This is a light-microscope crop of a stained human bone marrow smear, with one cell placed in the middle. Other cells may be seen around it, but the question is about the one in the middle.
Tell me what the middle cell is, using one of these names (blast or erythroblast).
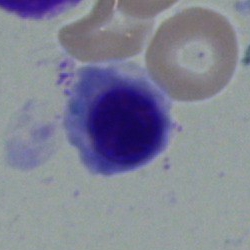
erythroblast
